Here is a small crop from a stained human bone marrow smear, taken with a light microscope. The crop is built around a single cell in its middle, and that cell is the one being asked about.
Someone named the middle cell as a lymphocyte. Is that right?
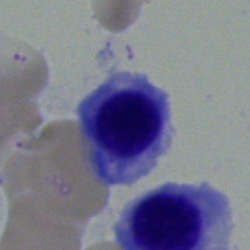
no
